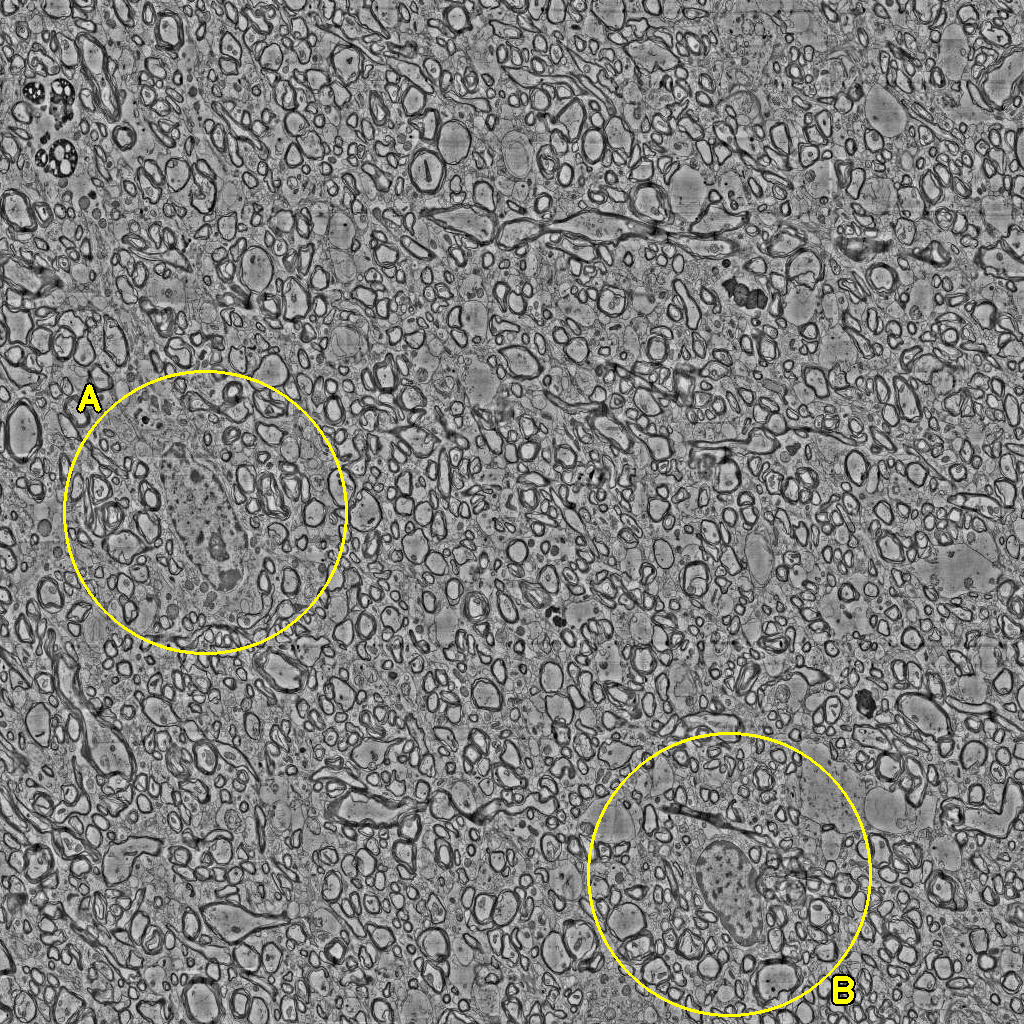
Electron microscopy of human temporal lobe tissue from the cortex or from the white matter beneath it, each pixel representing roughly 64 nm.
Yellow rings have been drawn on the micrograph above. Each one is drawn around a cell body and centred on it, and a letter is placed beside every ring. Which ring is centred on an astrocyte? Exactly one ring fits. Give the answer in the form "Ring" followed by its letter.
Ring A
